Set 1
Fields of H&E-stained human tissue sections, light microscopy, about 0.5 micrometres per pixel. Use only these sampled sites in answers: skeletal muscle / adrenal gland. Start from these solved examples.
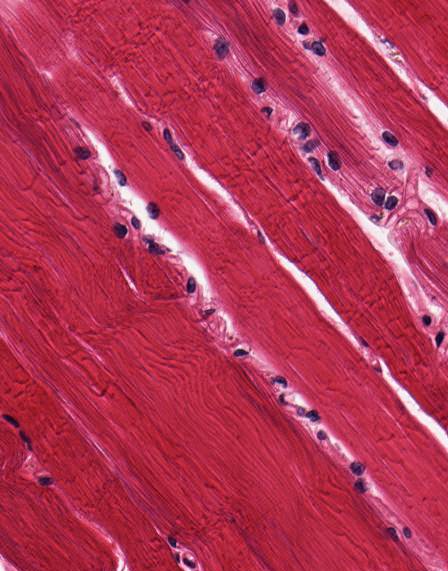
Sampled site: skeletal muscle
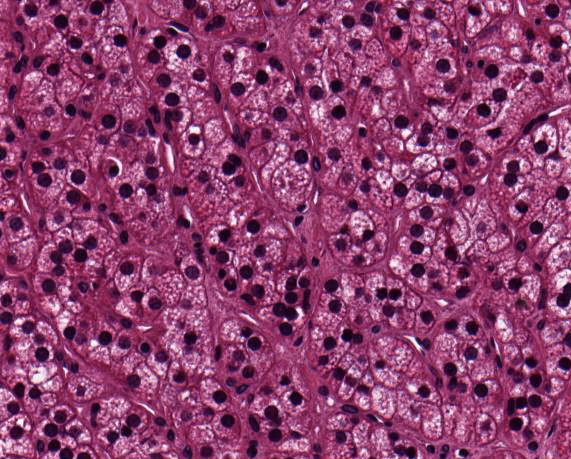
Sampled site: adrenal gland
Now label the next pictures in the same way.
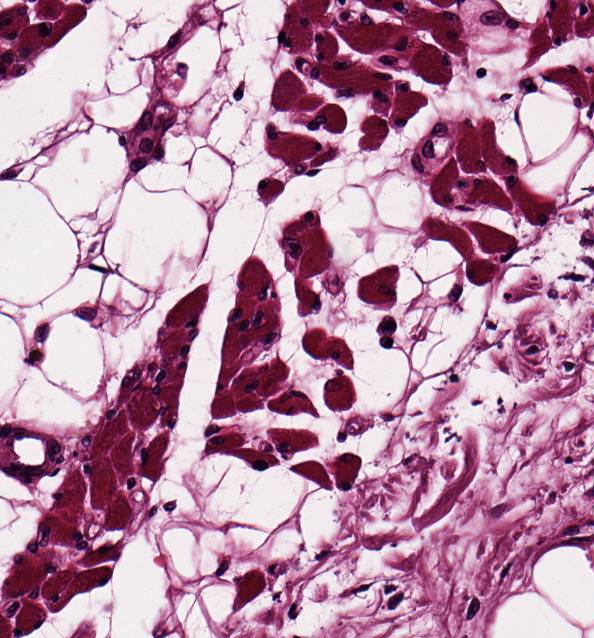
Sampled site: skeletal muscle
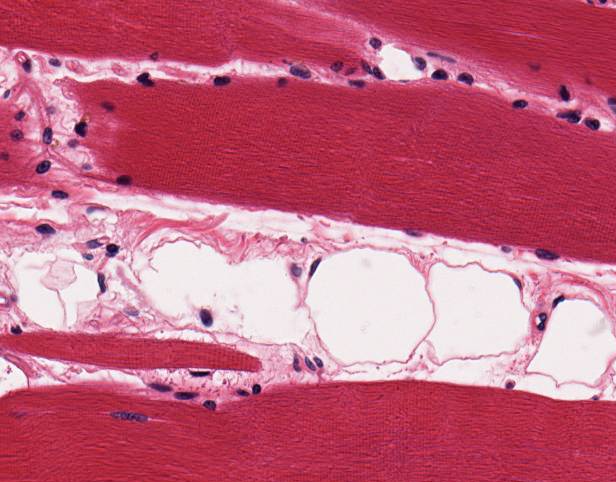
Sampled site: skeletal muscle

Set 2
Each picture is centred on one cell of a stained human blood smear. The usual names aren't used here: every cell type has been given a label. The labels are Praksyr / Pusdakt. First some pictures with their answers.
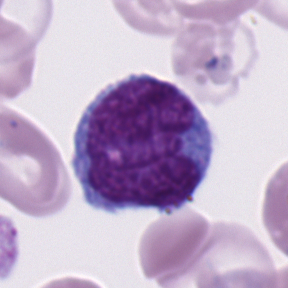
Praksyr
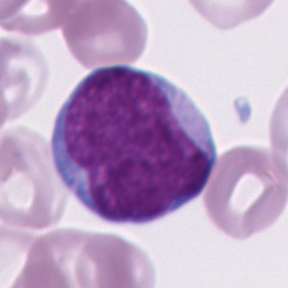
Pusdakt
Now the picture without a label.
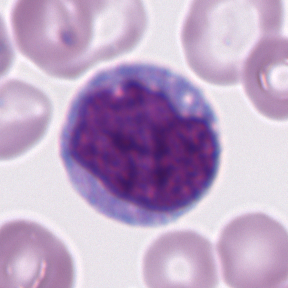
Praksyr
